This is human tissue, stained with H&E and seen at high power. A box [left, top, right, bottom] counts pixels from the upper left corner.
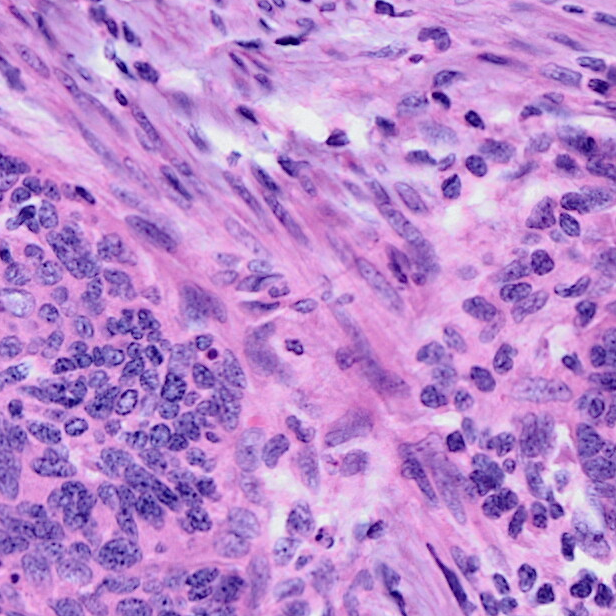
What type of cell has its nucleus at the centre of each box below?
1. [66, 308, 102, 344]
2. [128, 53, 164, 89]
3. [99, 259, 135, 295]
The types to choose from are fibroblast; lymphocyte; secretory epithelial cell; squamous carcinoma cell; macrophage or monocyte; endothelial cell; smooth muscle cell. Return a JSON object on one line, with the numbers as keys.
{"1": "squamous carcinoma cell", "2": "lymphocyte", "3": "squamous carcinoma cell"}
